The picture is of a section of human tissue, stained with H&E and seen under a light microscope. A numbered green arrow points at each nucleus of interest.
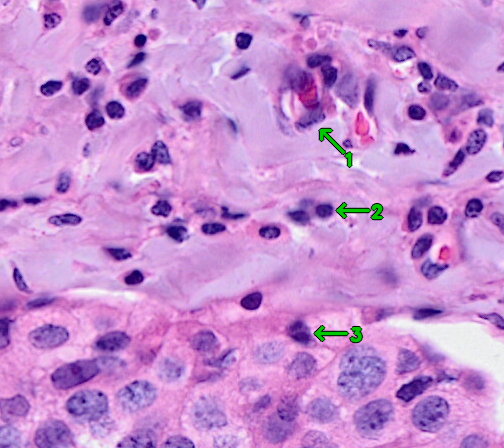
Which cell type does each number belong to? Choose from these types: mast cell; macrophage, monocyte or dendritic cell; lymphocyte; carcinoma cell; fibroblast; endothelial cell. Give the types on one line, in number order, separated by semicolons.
endothelial cell; lymphocyte; carcinoma cell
